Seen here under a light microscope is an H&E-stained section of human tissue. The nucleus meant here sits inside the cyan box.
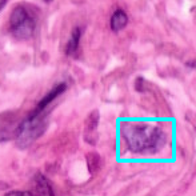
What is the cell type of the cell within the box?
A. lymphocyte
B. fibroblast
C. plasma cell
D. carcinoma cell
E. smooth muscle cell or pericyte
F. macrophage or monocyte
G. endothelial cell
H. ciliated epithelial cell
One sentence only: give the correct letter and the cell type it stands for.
Option B wins here: the cell within the box is a fibroblast.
